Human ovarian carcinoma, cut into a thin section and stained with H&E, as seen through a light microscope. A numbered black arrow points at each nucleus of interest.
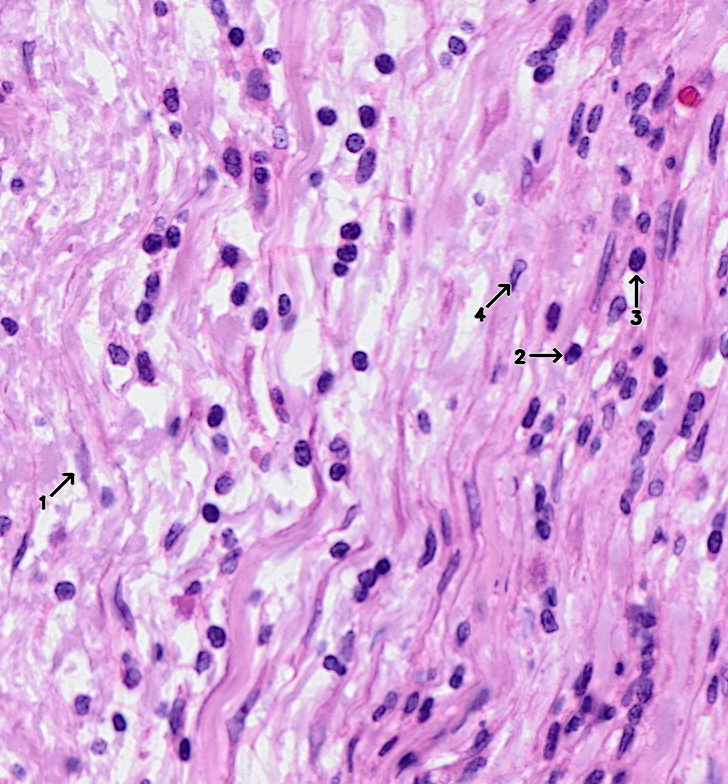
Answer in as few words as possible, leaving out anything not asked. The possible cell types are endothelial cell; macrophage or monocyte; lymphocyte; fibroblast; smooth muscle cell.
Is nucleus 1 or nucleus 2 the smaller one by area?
2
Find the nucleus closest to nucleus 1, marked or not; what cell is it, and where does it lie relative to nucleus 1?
a lymphocyte below and to the right of nucleus 1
